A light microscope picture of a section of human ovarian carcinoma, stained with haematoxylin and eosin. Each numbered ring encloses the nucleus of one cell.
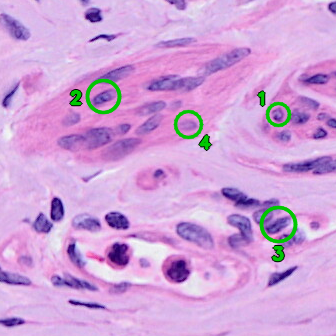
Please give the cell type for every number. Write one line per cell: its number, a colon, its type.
1: smooth muscle cell
2: smooth muscle cell
3: endothelial cell
4: smooth muscle cell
